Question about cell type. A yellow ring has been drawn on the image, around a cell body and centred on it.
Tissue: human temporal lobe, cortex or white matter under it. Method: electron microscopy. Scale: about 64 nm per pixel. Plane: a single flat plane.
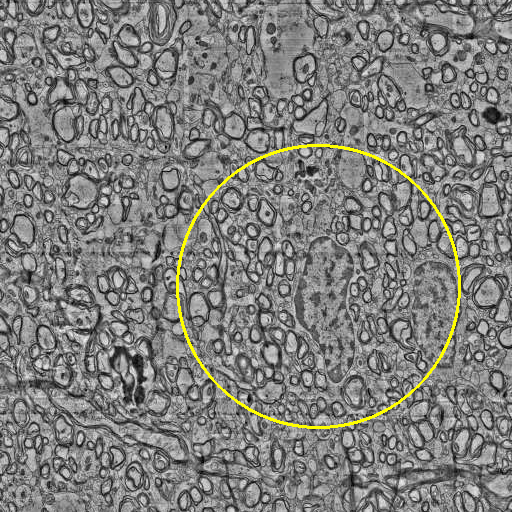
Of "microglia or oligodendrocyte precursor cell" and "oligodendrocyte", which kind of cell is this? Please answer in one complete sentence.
At the centre of the ring lies a microglial cell or oligodendrocyte precursor cell.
